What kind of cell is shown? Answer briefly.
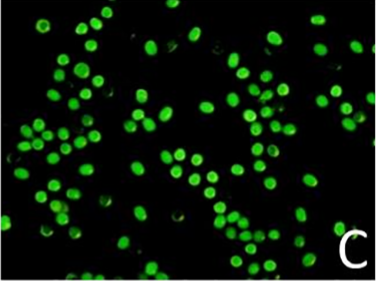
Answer: Pollen grain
